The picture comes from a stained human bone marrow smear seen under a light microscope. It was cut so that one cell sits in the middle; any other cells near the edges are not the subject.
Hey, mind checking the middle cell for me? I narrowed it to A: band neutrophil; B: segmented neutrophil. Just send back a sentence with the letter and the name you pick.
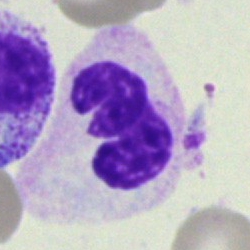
The correct identification, given in option B, is that the central cell is a segmented neutrophil.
